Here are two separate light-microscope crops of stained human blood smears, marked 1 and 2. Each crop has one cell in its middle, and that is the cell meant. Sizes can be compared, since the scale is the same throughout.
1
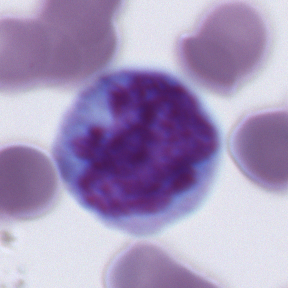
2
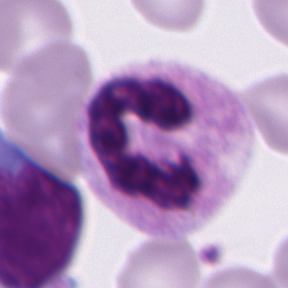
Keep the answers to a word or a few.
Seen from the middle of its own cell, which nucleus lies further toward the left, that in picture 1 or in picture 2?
2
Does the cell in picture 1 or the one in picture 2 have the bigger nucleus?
1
